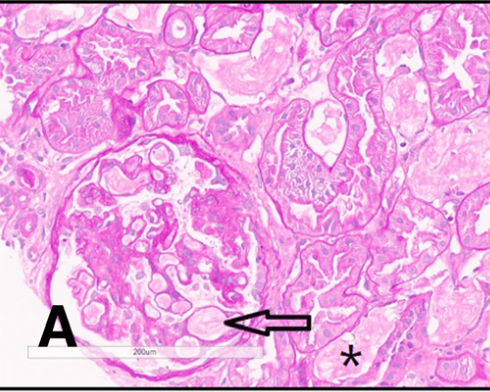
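A large glomerulus sits at the left among kidney tubules, stained in shades of magenta. Many of its capillary loops are rounded and filled with pale, homogeneous pink material rather than open spaces. A narrow empty gap separates the tuft from the capsule at one edge, and tubules with pink epithelium and open lumens surround it.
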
